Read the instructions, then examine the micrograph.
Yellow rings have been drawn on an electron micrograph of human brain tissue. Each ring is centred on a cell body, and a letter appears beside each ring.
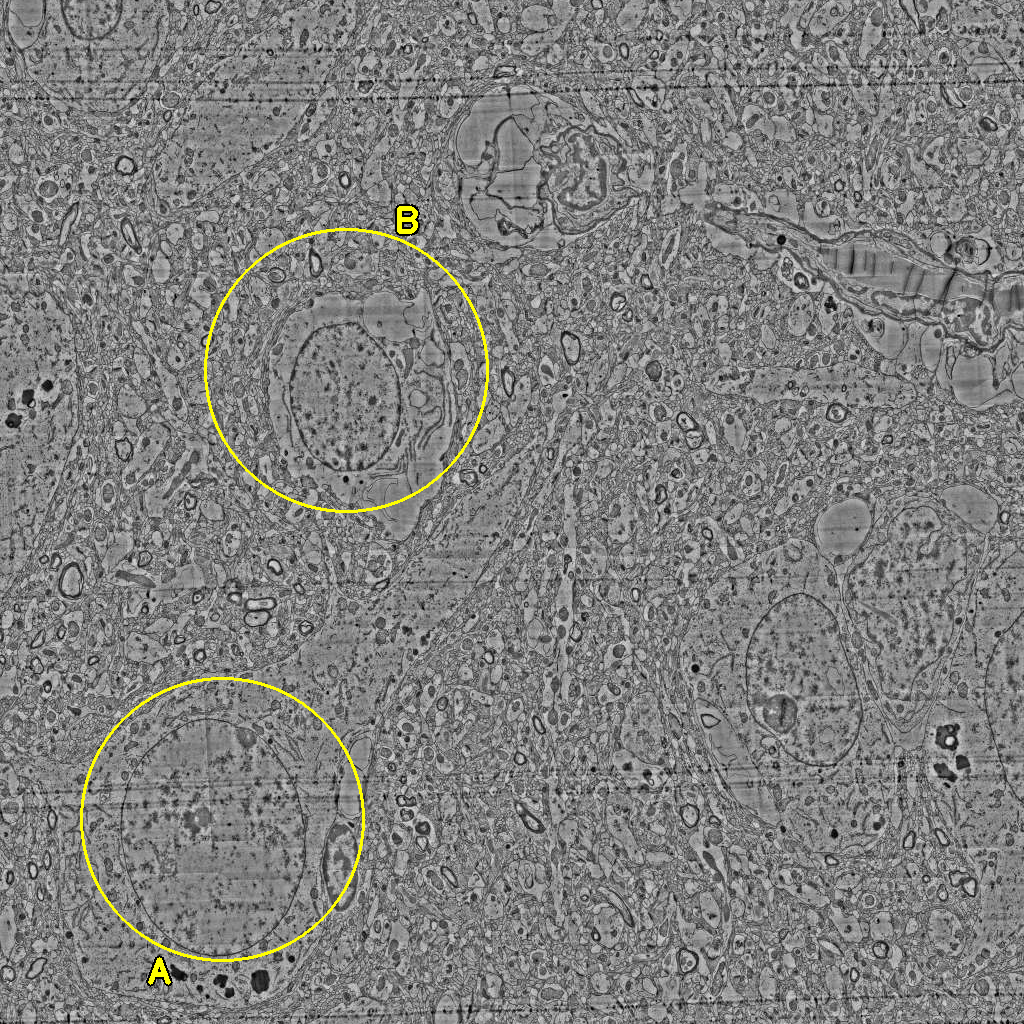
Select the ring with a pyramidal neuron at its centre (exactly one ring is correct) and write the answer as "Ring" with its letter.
Ring A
